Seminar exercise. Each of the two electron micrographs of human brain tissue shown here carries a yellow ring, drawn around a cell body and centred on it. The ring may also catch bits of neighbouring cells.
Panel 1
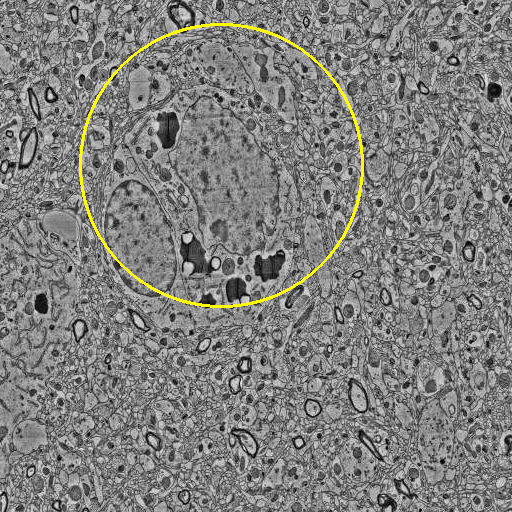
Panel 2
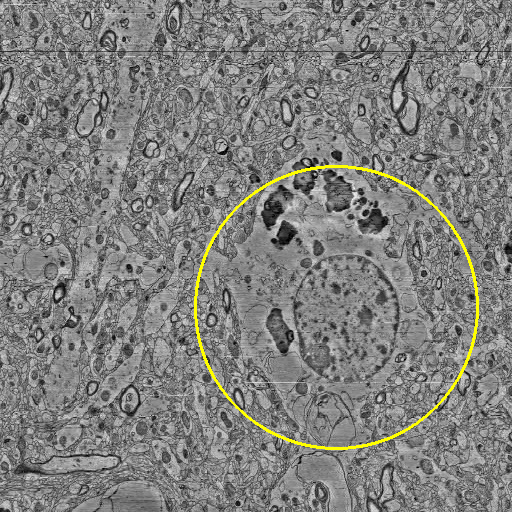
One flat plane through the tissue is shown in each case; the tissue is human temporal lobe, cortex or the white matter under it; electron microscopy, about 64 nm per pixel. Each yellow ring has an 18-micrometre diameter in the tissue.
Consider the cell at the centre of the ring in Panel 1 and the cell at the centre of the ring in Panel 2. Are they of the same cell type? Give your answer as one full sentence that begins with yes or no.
No, the two cells are of two types.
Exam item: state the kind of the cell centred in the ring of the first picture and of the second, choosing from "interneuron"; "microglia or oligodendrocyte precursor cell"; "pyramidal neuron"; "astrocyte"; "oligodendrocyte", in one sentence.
The first picture shows an interneuron at the ring centre and the second shows an astrocyte.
